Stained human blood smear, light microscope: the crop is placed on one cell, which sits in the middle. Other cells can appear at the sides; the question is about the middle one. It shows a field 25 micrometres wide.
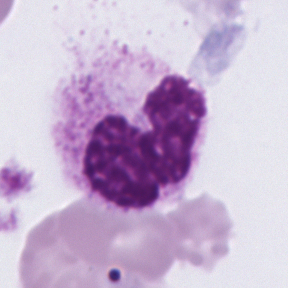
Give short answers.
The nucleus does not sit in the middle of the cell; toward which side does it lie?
lower right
